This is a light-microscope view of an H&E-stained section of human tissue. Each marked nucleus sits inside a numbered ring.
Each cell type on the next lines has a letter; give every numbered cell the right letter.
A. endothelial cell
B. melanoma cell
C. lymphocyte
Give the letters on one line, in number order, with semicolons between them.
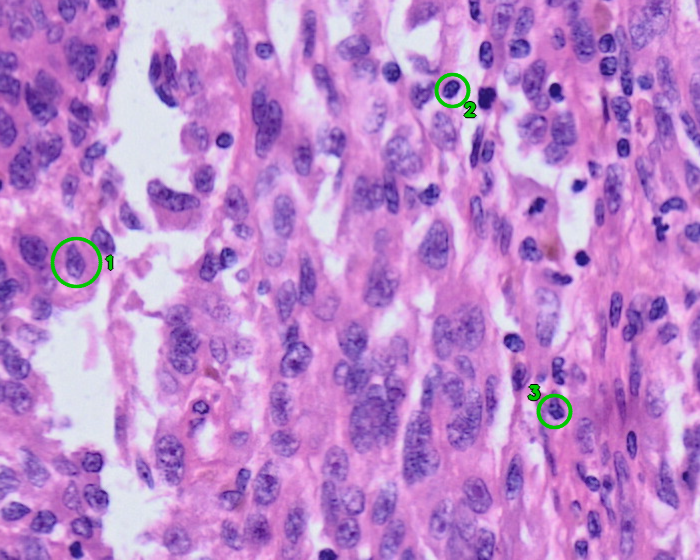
B; C; C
